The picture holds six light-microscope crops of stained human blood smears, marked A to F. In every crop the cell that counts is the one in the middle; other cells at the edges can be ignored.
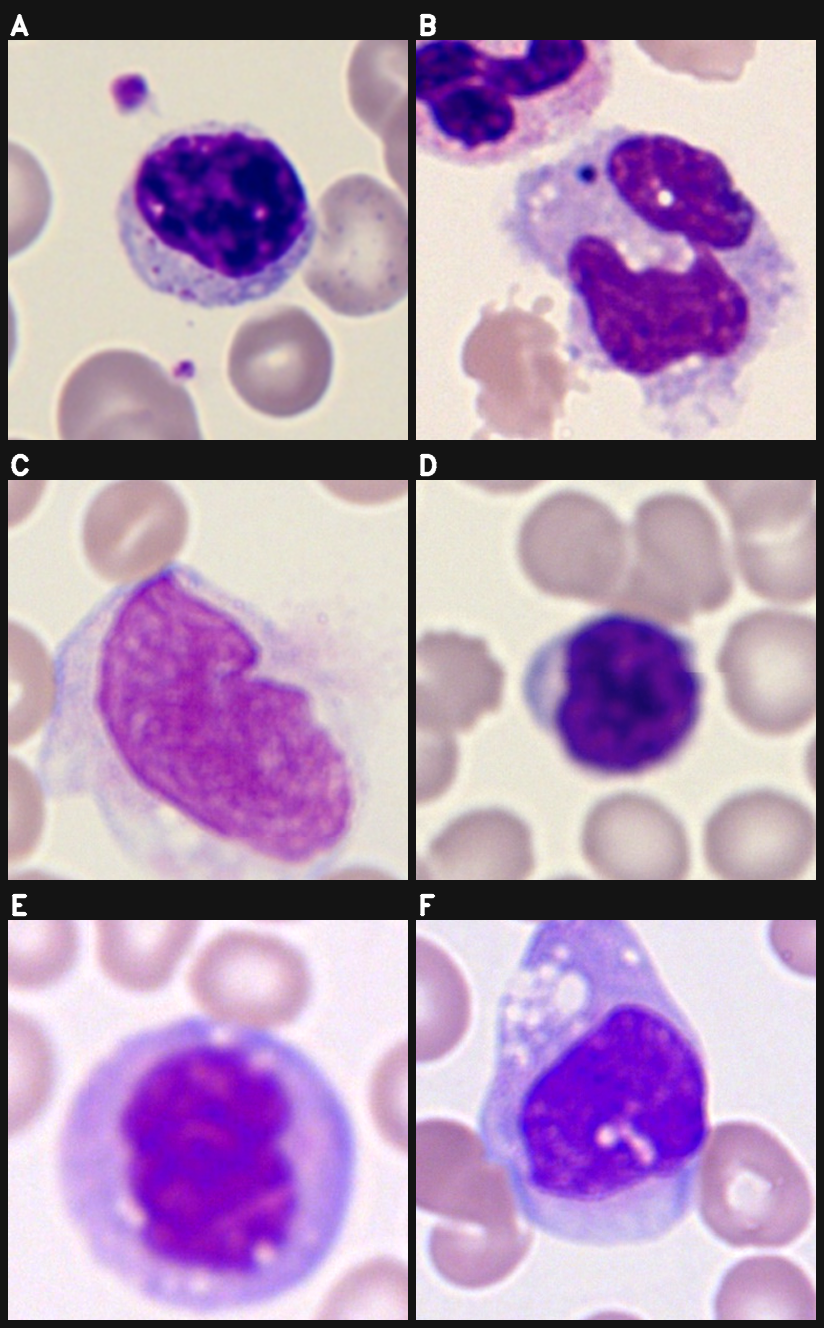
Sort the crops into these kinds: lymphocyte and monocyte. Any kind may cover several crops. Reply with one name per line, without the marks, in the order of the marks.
lymphocyte
monocyte
monocyte
lymphocyte
monocyte
monocyte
